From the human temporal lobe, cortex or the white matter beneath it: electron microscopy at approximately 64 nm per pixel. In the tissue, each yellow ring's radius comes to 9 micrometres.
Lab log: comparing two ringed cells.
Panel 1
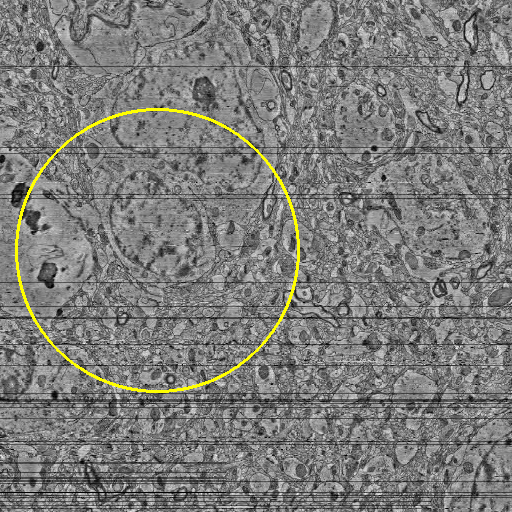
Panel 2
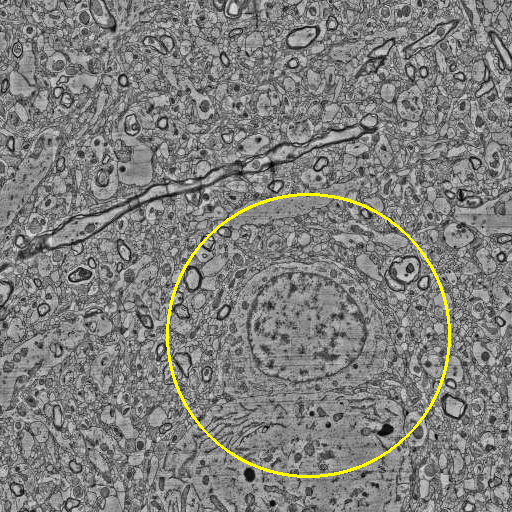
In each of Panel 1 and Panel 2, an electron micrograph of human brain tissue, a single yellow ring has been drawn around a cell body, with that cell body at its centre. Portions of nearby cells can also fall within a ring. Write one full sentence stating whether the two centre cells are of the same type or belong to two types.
The cells at the ring centres in Panel 1 and Panel 2 are of the same type.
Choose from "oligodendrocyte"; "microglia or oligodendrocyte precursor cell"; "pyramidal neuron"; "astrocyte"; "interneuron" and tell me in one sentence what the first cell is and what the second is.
Each of the two cells is an interneuron.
